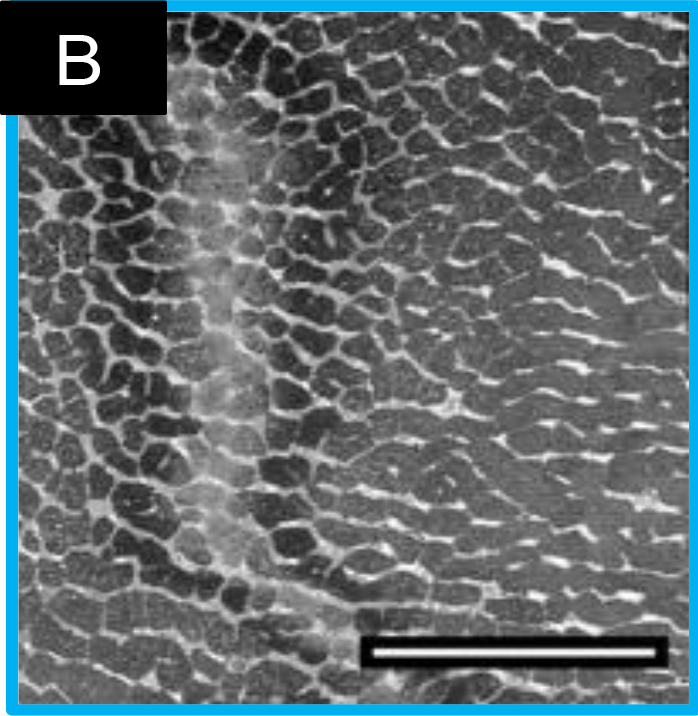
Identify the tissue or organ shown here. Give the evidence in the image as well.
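Muscle fiber. Many small dark polygonal profiles are packed side by side. A bright network outlines each polygonal profile.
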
